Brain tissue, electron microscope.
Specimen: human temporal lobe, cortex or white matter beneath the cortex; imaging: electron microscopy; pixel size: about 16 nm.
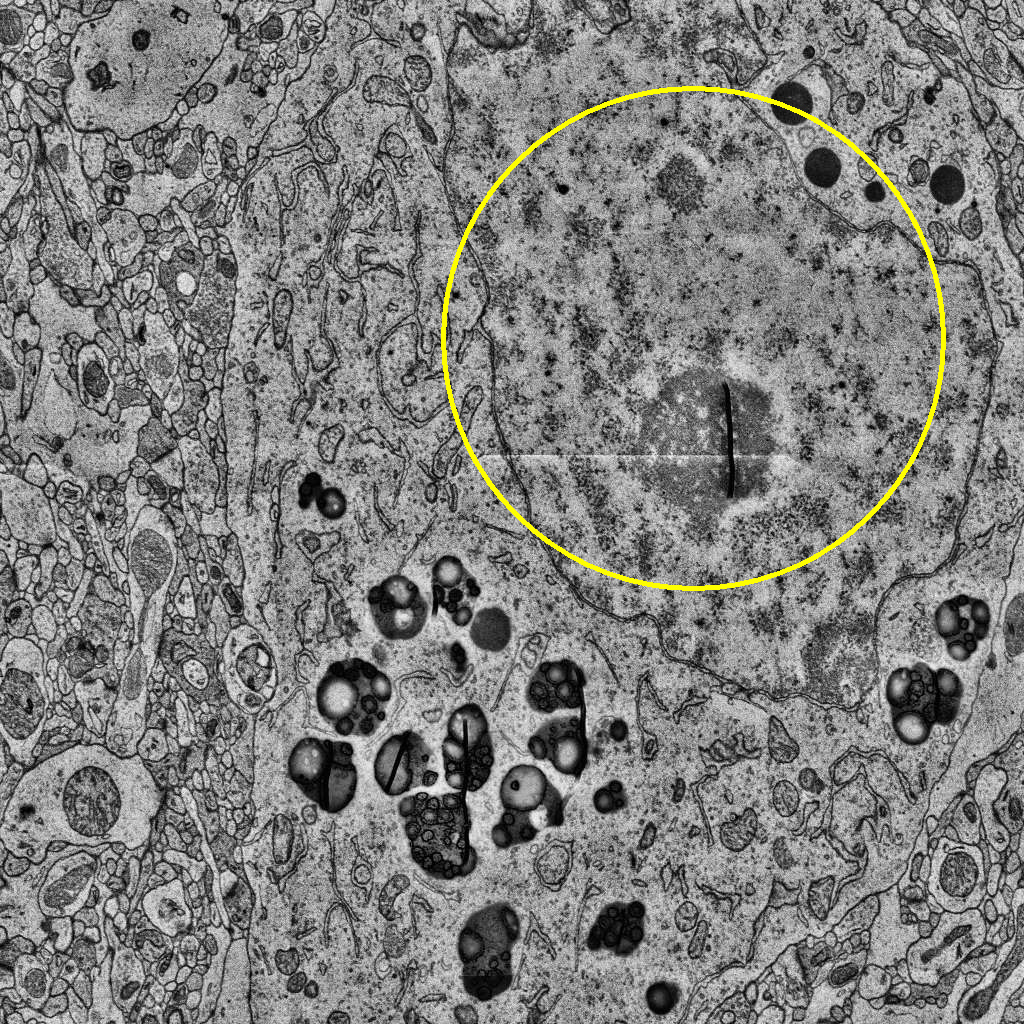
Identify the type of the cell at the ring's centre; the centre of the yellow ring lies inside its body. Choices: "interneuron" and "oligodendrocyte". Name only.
interneuron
